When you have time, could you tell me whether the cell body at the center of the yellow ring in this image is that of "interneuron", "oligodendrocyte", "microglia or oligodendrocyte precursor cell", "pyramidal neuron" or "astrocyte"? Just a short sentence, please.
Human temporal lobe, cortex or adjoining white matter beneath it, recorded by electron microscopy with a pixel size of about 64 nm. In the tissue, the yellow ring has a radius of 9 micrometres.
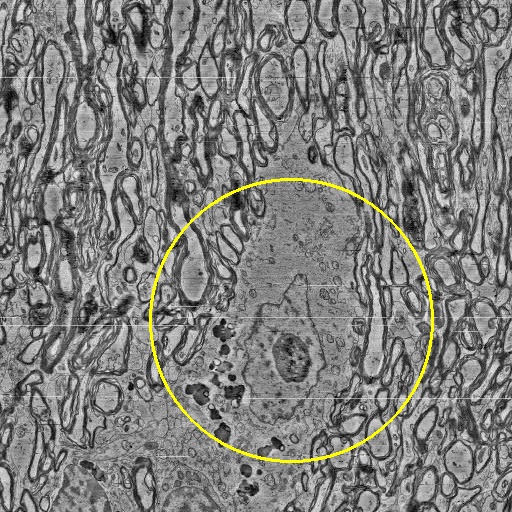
The cell body at the center of the ring is that of a pyramidal neuron.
